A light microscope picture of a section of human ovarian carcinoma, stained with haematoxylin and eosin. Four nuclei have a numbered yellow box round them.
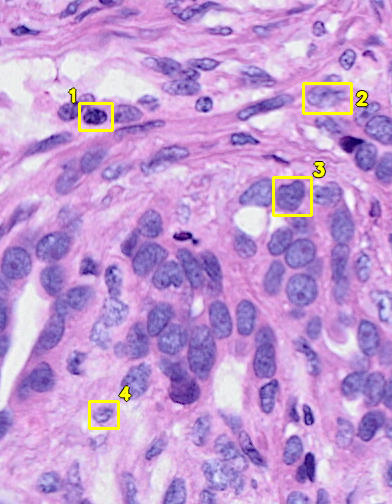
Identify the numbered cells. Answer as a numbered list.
1. lymphocyte
2. fibroblast
3. carcinoma cell
4. macrophage or monocyte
